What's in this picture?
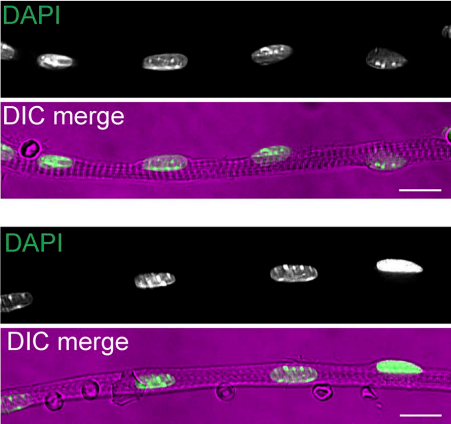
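Low-magnification view of single skeletal muscle fibers lying horizontally. Each fiber is a long, even cylinder with fine cross-striations in the interference contrast image. Oval nuclei, green in the merge, lie within the fiber with their long axis along it, spaced at fairly regular intervals. Some nuclei show brighter spots of chromatin. Small round debris lies beside the fibers.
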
